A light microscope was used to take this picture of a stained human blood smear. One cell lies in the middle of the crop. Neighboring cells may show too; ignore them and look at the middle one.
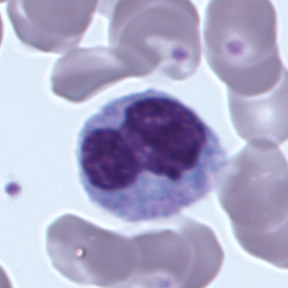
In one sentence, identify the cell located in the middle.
Positioned in the middle of the crop is a monocyte.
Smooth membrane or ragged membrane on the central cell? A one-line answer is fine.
From every side, the cell boundary is smooth and free of projections.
